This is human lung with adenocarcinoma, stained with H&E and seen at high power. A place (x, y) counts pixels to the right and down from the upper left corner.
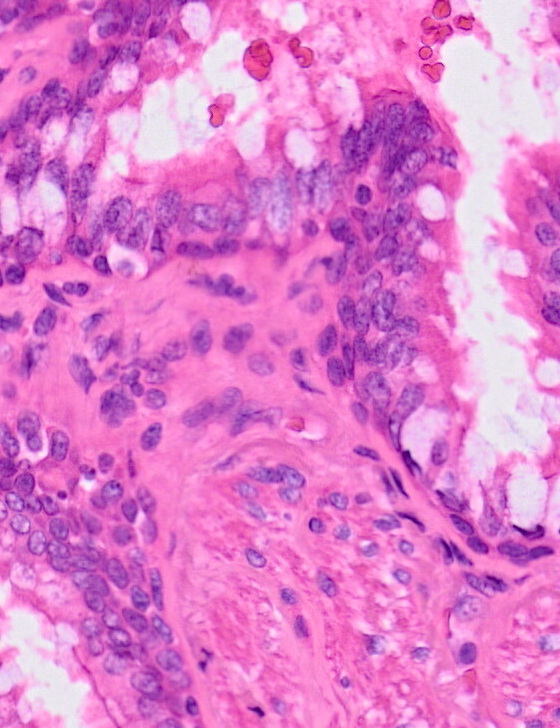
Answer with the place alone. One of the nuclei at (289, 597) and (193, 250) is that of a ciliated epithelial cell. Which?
(193, 250)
